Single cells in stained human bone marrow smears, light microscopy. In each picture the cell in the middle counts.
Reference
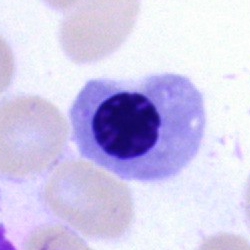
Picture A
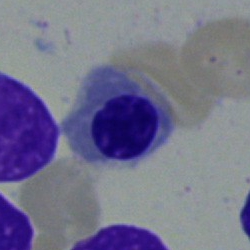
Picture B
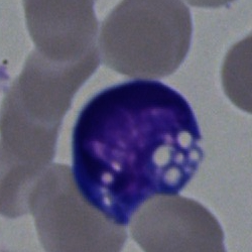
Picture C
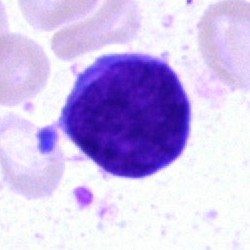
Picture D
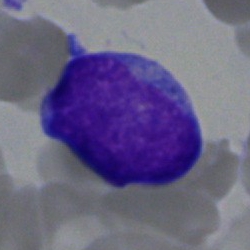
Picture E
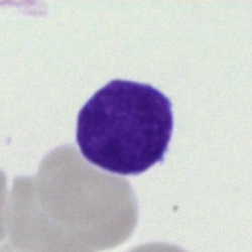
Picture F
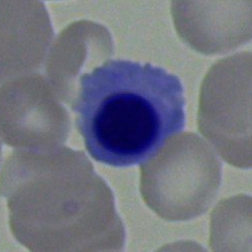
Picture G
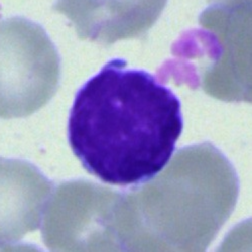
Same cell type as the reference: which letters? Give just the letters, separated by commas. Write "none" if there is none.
A, F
